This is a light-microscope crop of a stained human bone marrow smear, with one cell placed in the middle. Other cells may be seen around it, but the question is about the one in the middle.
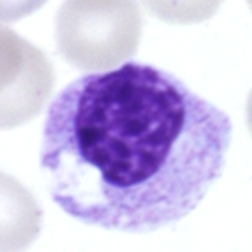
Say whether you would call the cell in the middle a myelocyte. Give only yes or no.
yes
